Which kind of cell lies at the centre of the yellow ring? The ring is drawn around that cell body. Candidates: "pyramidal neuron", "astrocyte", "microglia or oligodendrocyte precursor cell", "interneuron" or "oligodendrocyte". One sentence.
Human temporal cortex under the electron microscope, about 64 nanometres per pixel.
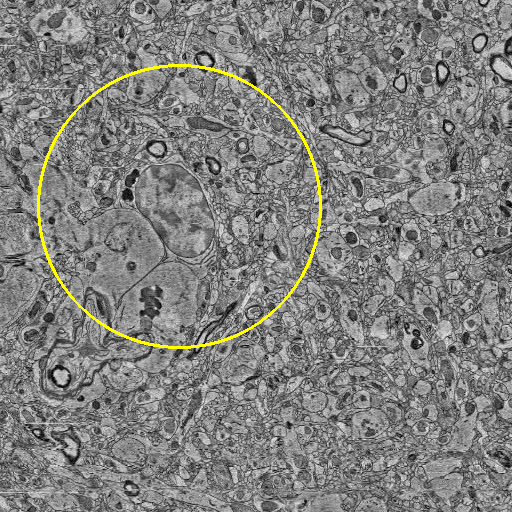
Lying at the centre of the ring is a microglial cell or oligodendrocyte precursor cell.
